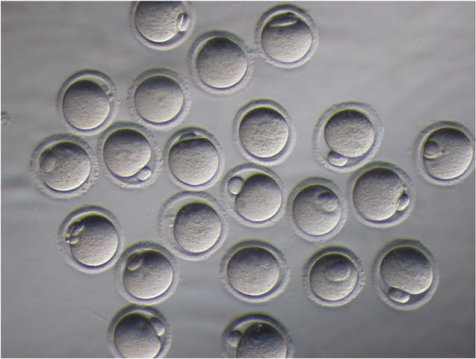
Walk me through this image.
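This field shows a cluster of separate oocytes, each a large sphere of evenly granular cytoplasm. A thick clear zona pellucida surrounds every cell, with a thin perivitelline space between them. Small round polar bodies are visible in the perivitelline space of several oocytes, often pressed against the zona. The cells are much alike in size and outline.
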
